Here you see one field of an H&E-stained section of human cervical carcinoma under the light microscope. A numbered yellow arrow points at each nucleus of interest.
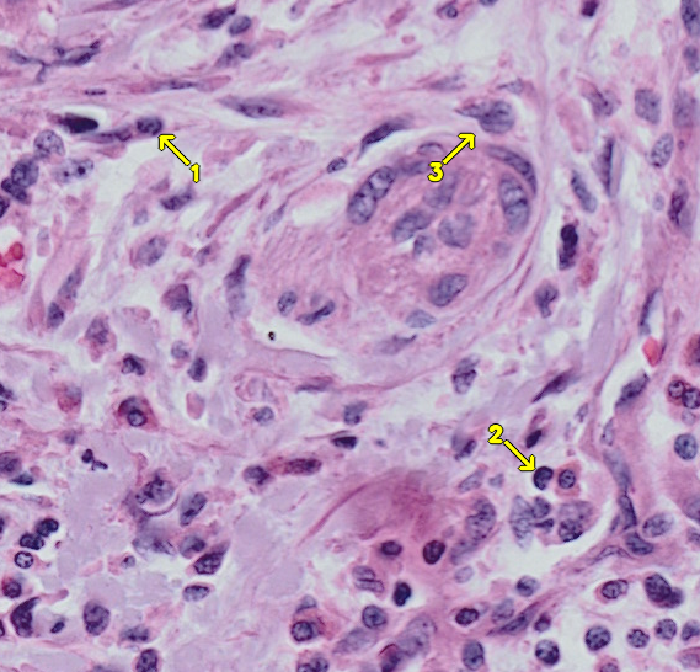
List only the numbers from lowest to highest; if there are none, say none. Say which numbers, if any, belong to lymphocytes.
1, 2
